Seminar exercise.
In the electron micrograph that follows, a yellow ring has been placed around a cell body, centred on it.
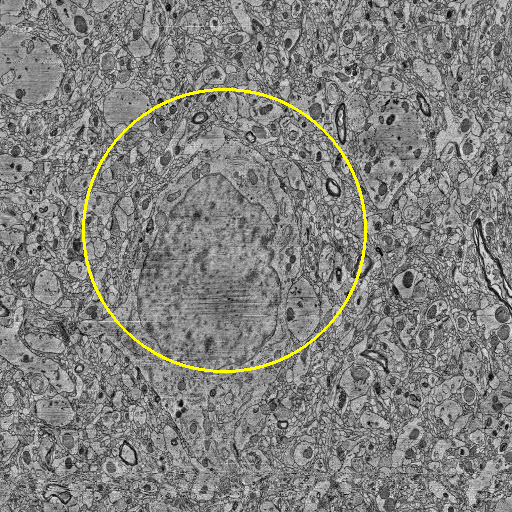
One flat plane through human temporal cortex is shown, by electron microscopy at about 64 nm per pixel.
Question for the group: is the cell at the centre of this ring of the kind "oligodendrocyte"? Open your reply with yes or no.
No, the cell in the ring's centre is of another kind.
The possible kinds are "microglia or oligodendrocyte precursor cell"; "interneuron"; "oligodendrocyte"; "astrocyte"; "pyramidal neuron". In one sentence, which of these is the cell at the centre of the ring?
The cell at the middle of the ring is an interneuron.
